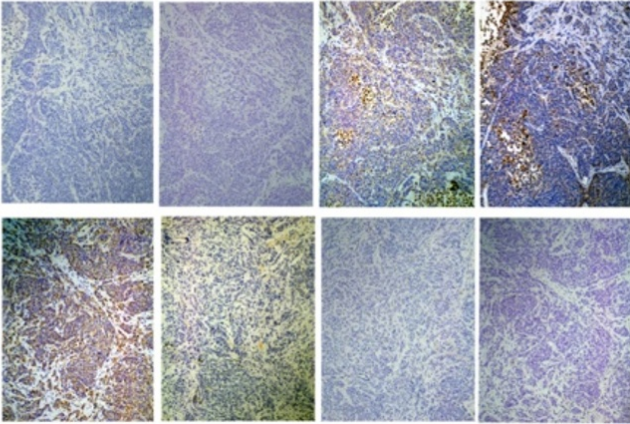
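Eight low-power fields of a solid tumour tissue, made of sheets and nests of densely packed tumour cells with blue-counterstained nuclei, separated by paler strands of stroma. The brown stain differs between fields: in some it is faint and nearly absent, in others it lies diffusely over the tumour cell sheets or gathers in patchy, coarse brown clusters. The fields are too low in power to show the detail of single cells.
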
